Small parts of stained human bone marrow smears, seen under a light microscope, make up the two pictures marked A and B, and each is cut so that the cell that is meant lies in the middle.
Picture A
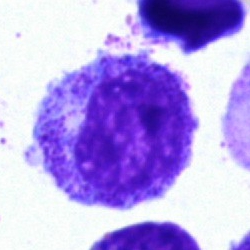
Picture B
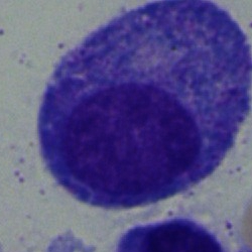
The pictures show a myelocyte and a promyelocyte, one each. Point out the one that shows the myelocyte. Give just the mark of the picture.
A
